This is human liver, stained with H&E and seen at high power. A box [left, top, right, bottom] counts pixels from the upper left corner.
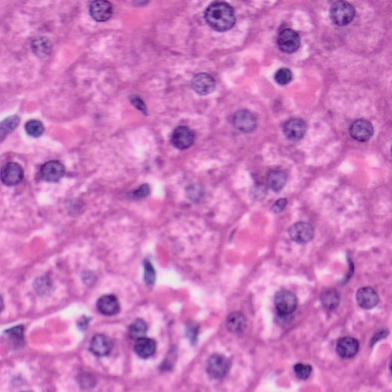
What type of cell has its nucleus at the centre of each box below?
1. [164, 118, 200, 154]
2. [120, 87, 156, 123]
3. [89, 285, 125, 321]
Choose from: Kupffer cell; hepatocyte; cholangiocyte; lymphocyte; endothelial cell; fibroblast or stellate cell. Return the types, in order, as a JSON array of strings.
["hepatocyte", "endothelial cell", "hepatocyte"]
